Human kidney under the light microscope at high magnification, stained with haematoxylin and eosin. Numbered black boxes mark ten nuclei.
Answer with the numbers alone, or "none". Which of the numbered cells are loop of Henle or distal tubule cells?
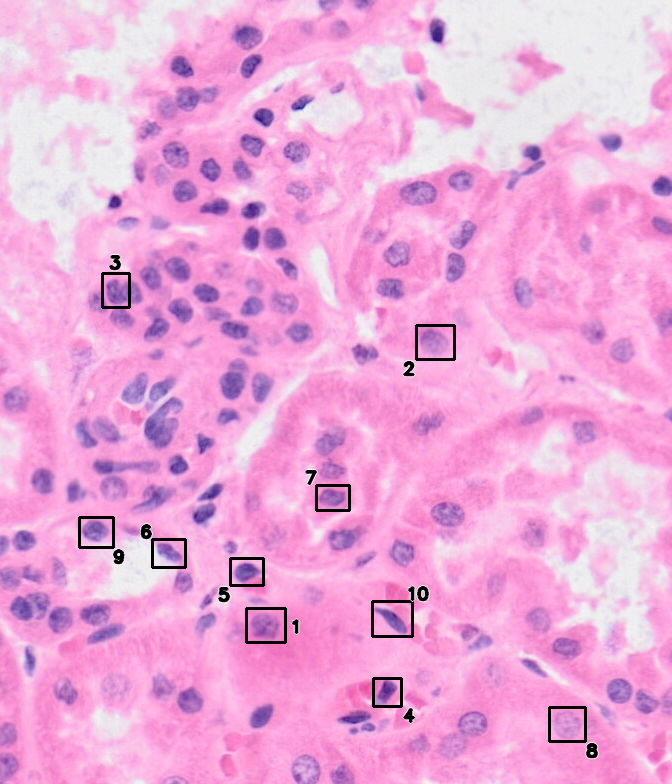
6, 9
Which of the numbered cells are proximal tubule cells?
1, 2, 7, 8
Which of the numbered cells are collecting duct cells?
3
